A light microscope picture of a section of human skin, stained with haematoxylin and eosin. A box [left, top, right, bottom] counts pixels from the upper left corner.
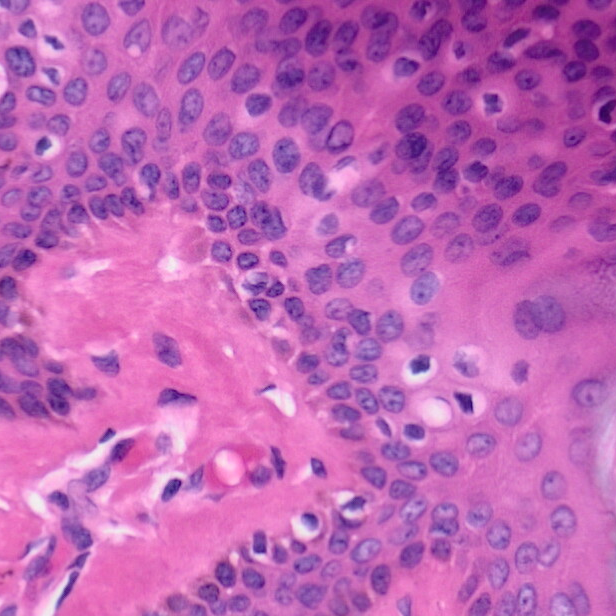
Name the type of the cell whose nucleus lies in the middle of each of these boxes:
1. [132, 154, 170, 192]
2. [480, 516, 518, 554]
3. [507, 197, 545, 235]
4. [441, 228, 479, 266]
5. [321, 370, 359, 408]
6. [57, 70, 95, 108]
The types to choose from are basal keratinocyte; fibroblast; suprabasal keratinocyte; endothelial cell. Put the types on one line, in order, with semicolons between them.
basal keratinocyte; suprabasal keratinocyte; suprabasal keratinocyte; suprabasal keratinocyte; basal keratinocyte; suprabasal keratinocyte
